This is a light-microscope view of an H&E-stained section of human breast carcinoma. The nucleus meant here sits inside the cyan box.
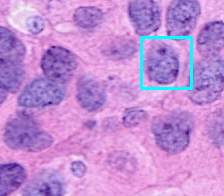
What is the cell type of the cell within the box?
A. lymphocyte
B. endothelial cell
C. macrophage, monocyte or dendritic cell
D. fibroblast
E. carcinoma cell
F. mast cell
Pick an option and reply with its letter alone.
E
